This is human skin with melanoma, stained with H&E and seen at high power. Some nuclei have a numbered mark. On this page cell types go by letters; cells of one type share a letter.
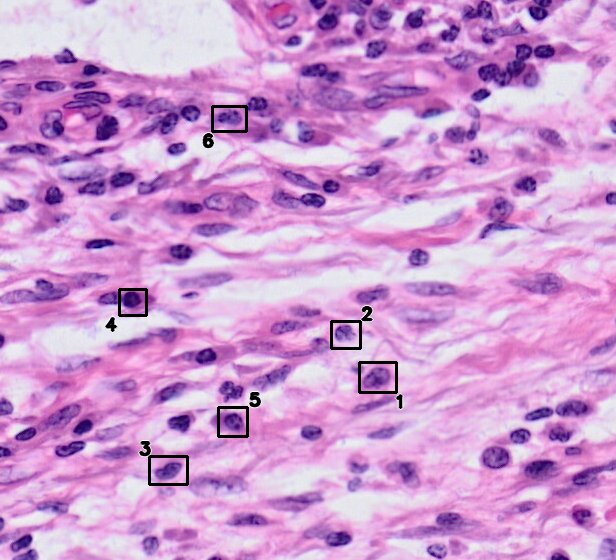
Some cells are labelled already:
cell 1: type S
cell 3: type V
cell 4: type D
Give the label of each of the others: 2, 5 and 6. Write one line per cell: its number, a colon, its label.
2: type V
5: type D
6: type D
